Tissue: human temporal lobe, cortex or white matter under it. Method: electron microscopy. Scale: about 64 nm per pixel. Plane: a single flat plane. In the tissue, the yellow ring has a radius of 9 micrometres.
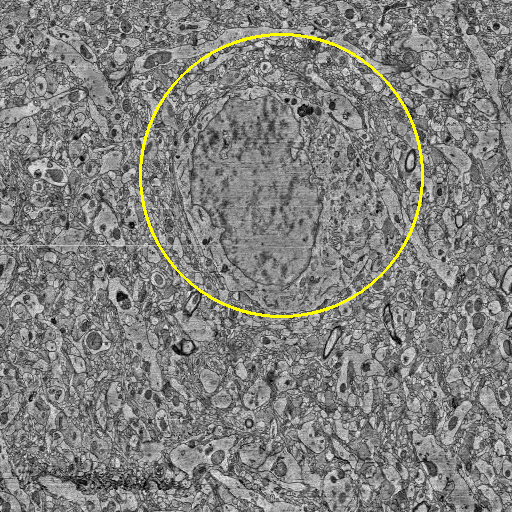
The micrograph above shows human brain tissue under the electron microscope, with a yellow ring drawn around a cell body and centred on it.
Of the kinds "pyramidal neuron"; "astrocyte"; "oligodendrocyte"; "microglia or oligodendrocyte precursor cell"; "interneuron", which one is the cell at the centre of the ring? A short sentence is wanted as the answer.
The one at the centre of the ring is an interneuron.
